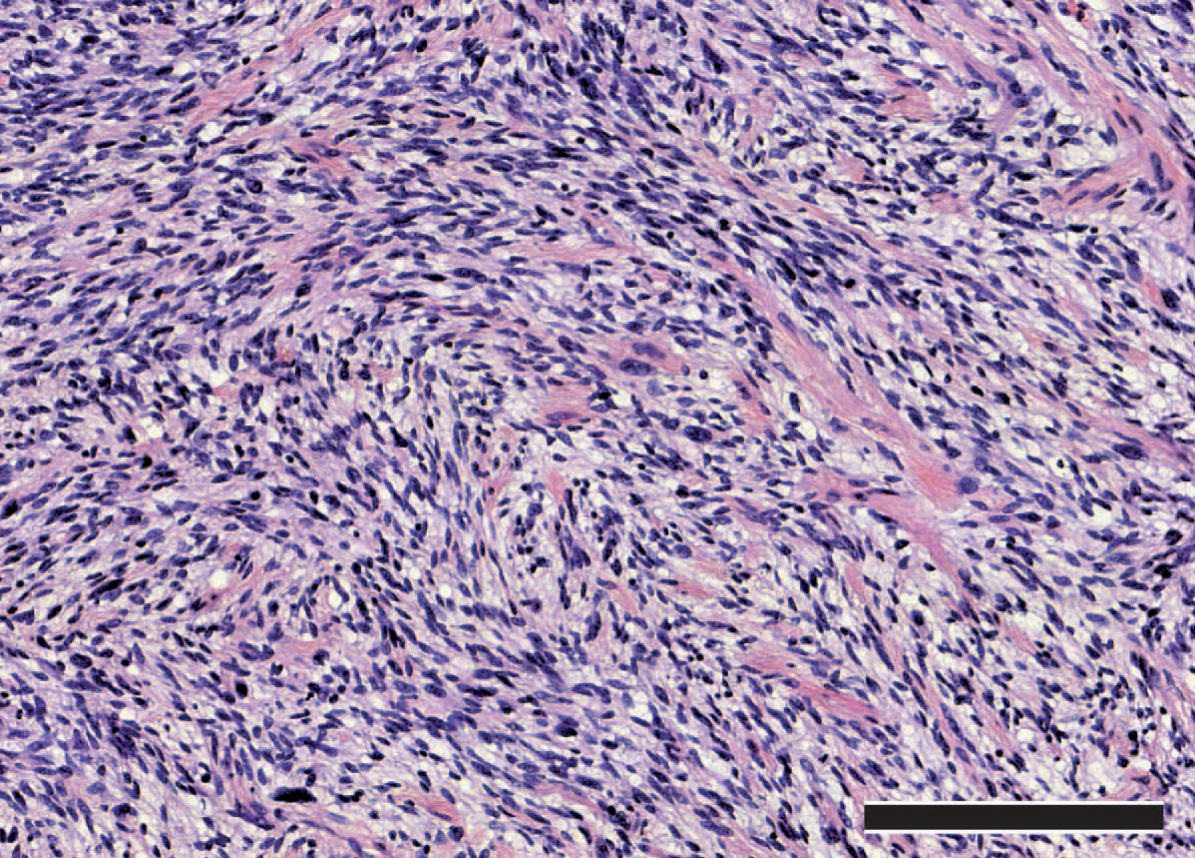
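This is a densely cellular tumor made up mainly of spindle-shaped cells packed closely together. The cells run in streaming, interlacing bundles, and their elongated nuclei lie along strands of pink cytoplasm. Many nuclei are dark purple and crowded. A few cells near the centre have clearly larger nuclei than their neighbours. Small clear spaces are scattered among the cells.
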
